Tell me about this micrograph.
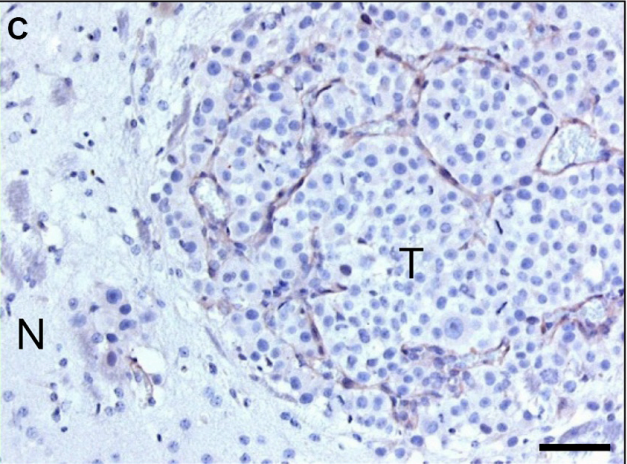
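The tumor cells are round, tightly packed, with round blue nuclei and a modest rim of pale cytoplasm. Thin brown-lined vessels form a branching network that divides the nest into lobules and surrounds it. To the side lies pale fibrillar brain tissue with scattered smaller nuclei and a few larger cells.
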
